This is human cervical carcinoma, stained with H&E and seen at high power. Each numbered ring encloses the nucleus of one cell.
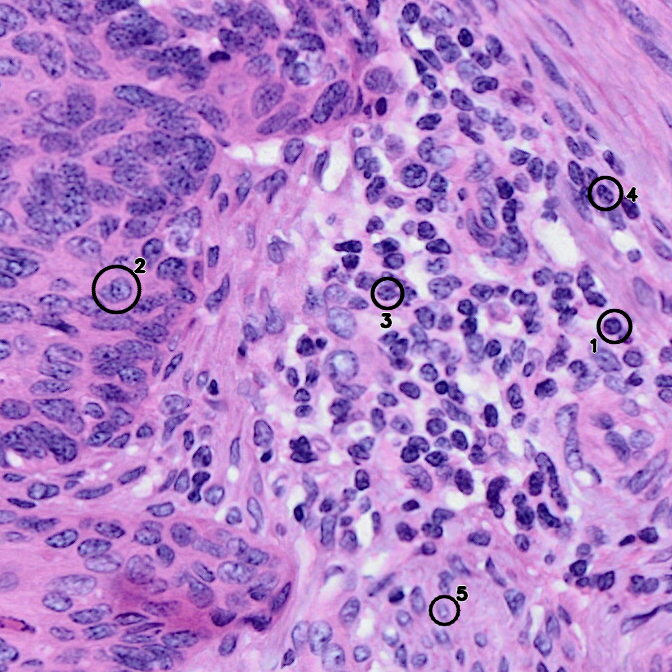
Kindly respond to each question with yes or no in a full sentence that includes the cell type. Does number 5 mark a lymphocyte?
No, what number 5 shows is a smooth muscle cell, not a lymphocyte.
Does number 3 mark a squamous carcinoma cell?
No, cell 3 is not a squamous carcinoma cell: it is a lymphocyte.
